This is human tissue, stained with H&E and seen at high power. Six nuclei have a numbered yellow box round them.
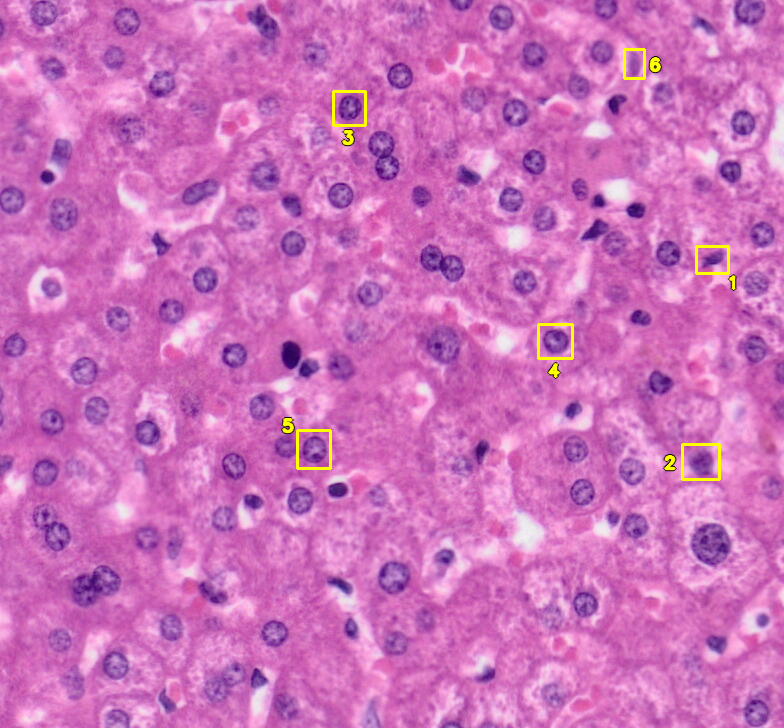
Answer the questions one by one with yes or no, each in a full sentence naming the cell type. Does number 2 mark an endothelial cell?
Yes, the cell identified as number 2 is an endothelial cell.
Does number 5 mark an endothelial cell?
No, the cell tagged 5 is a hepatocyte, and not an endothelial cell.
